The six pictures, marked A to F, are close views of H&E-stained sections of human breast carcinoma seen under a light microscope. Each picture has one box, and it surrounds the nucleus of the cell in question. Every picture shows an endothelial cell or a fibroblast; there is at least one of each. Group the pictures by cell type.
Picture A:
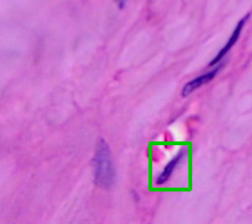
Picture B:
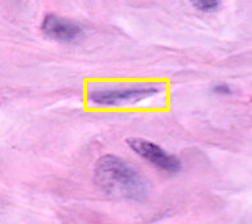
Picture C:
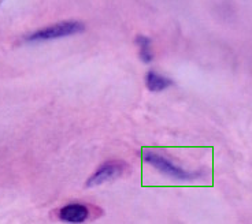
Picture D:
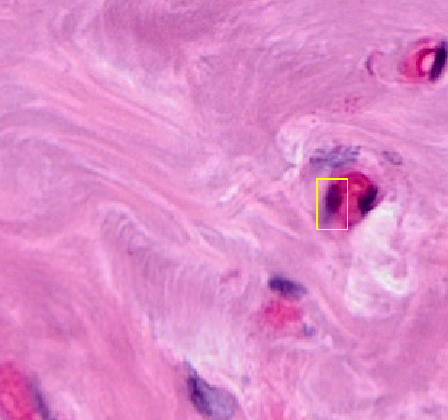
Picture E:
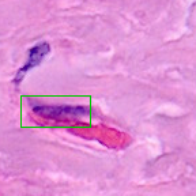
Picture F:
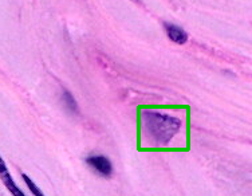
A: endothelial cell
B: fibroblast
C: fibroblast
D: endothelial cell
E: endothelial cell
F: fibroblast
